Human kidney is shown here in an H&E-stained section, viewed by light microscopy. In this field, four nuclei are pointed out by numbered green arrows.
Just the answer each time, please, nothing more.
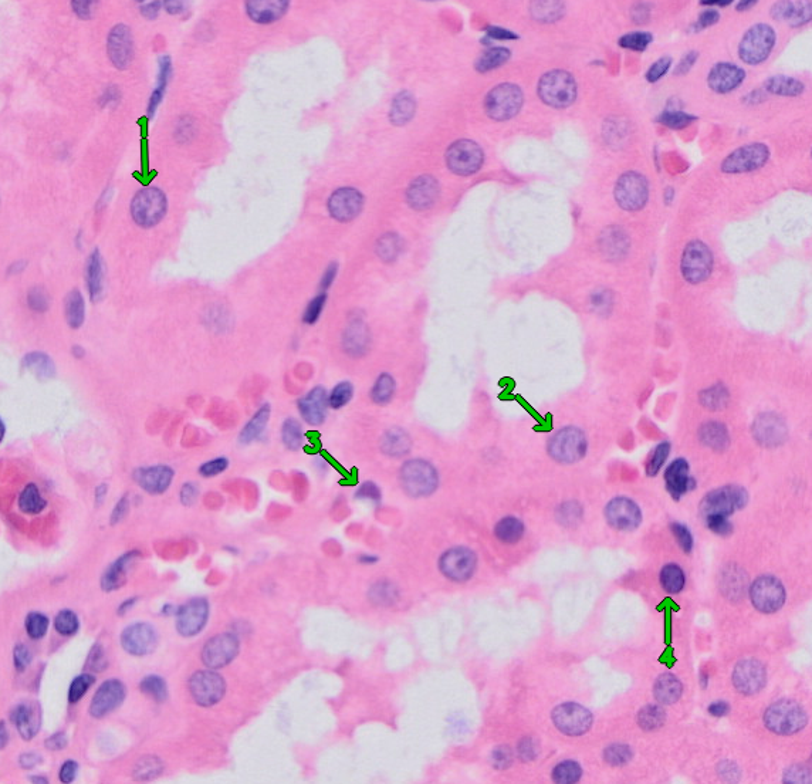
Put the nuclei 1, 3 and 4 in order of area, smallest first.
3, 4, 1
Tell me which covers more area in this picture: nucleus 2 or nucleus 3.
2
